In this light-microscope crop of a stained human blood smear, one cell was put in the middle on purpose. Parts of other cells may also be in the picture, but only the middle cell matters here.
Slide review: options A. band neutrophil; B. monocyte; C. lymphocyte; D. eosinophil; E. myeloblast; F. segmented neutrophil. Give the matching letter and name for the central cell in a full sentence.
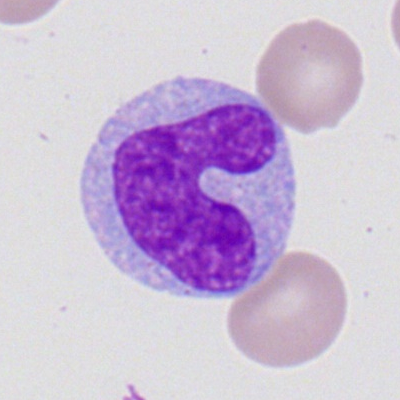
Option B gets it right: the cell in the middle is a monocyte.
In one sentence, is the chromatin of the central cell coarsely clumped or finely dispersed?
The chromatin is delicate and fine, lacking coarse clumping entirely.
